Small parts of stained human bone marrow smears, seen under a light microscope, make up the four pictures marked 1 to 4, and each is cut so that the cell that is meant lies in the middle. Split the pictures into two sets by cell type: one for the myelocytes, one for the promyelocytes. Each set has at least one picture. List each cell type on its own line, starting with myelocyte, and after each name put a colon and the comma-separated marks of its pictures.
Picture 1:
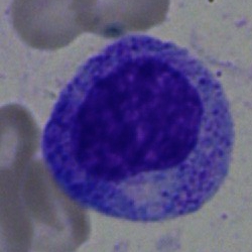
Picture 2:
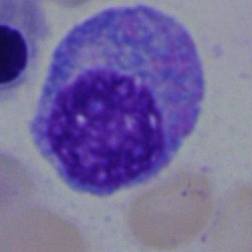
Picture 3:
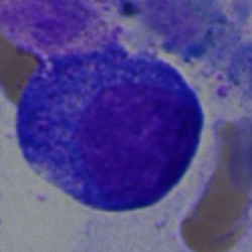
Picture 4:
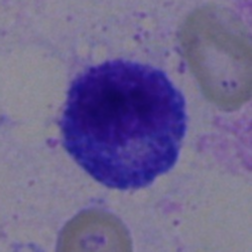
myelocyte: 1
promyelocyte: 2, 3, 4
